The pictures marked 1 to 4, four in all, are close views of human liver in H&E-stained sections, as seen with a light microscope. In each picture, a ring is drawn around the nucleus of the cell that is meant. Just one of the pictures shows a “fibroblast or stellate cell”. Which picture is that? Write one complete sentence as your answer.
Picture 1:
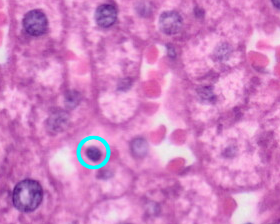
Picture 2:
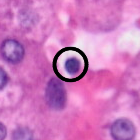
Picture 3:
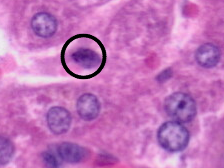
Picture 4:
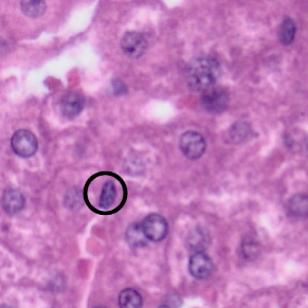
The cell in picture 4 is the “fibroblast or stellate cell”.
